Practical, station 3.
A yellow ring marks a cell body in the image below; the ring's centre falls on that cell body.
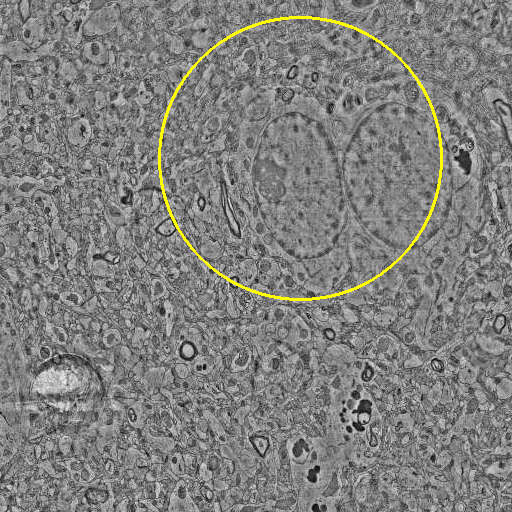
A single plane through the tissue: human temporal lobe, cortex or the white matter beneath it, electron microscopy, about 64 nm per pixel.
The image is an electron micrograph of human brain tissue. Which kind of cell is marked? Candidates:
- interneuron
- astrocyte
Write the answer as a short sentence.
The marked cell body is that of an astrocyte.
